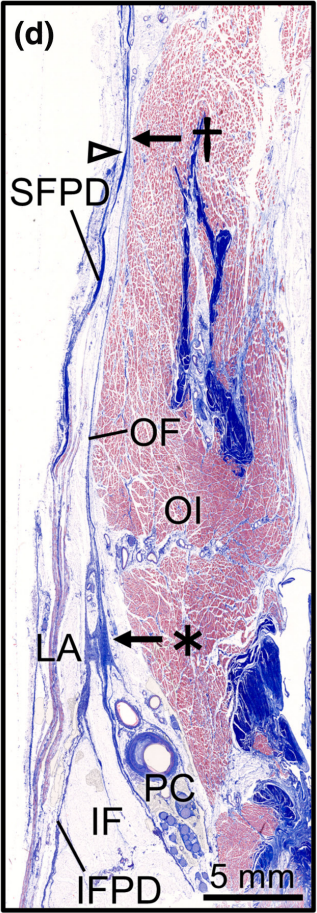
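Section of pelvic wall showing a large mass of red-staining skeletal muscle on the right, bounded on its left by a thin blue fascial sheet of dense collagen. Further left lies pale loose tissue with a thin blue fascial line. In the lower part, fatty tissue appears pale and empty, and a group of blood vessels with thick blue walls and nerve bundles lies within a connective tissue space.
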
